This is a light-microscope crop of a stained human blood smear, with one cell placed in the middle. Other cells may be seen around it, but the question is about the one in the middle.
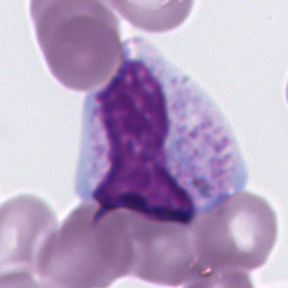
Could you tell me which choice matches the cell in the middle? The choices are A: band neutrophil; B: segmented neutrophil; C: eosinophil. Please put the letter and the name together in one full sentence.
Option A is right in identifying the central cell as a band neutrophil.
